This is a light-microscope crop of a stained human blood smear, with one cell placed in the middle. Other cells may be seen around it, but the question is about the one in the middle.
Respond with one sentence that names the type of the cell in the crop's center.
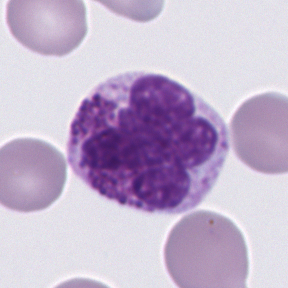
The cell that lies at the centre of the crop is a basophil.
